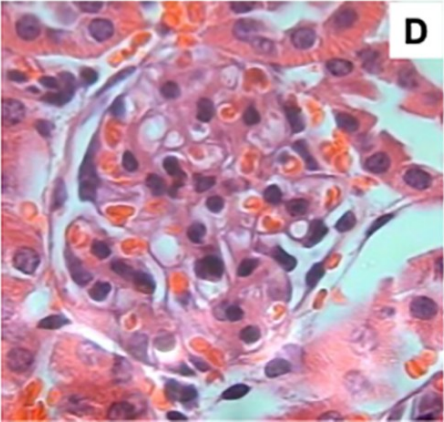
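This is a kidney glomerulus with rather few cells, seen with a pink and purple stain. Its capillary loops are open and many hold orange-red blood cells. The loop walls are thin, and the purple nuclei between them are spaced apart rather than crowded. A narrow pale space and a thin capsule separate the tuft from the surrounding tubules, whose cells have pink cytoplasm and round nuclei.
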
